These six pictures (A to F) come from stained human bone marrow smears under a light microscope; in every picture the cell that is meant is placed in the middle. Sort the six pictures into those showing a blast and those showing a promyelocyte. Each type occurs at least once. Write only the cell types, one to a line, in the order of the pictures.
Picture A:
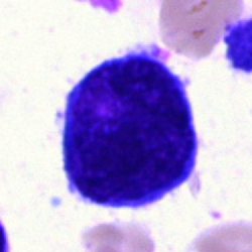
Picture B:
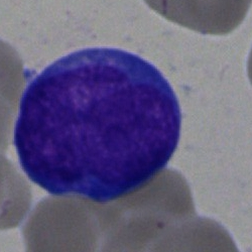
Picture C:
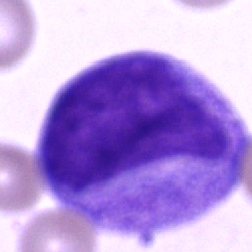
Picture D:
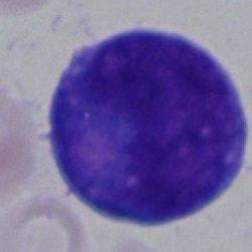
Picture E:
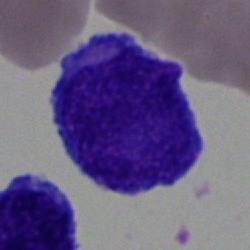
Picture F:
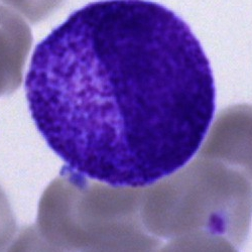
blast
blast
promyelocyte
blast
blast
promyelocyte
